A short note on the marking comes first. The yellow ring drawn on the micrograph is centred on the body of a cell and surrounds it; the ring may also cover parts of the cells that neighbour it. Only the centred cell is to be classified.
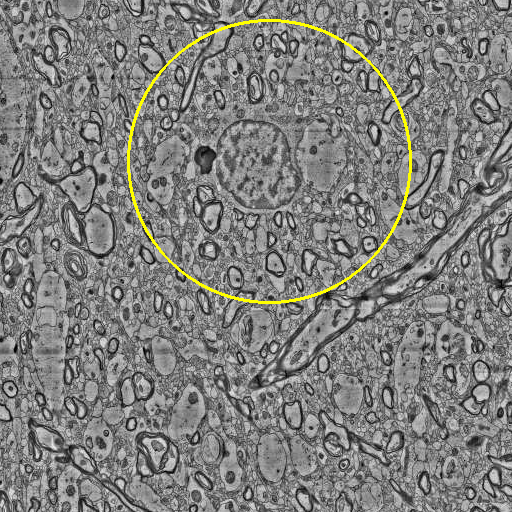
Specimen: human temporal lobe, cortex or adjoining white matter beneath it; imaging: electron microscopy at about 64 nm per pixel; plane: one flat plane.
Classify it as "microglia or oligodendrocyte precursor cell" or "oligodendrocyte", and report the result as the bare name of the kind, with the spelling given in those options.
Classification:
oligodendrocyte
